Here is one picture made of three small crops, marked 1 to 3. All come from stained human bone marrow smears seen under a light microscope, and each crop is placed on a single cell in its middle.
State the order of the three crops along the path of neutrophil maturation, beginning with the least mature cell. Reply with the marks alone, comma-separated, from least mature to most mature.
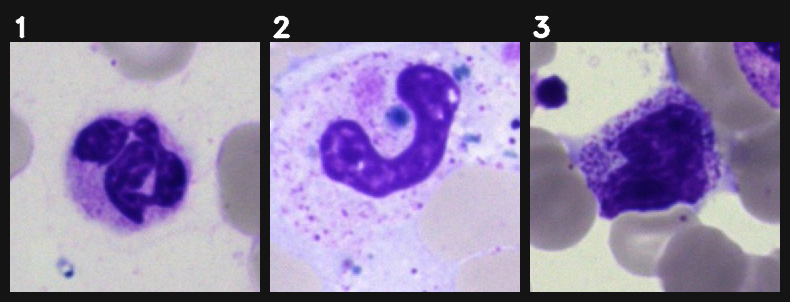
3, 2, 1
